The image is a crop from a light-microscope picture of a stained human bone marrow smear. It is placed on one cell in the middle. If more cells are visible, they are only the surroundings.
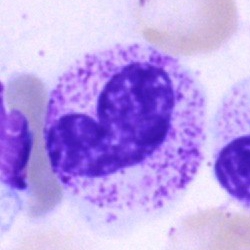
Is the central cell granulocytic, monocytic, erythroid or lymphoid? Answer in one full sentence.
The cell in the middle of the crop belongs to the granulocytic lineage.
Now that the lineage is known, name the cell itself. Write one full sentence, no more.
The cell at the heart of this crop is a metamyelocyte.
